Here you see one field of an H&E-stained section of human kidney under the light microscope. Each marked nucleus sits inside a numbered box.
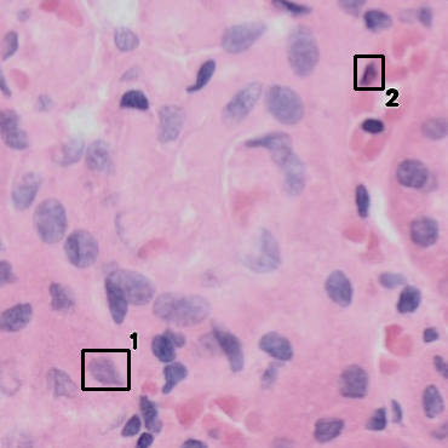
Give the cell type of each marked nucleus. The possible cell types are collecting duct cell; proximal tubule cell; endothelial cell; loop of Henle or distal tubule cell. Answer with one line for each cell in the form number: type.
1: proximal tubule cell
2: endothelial cell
